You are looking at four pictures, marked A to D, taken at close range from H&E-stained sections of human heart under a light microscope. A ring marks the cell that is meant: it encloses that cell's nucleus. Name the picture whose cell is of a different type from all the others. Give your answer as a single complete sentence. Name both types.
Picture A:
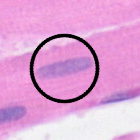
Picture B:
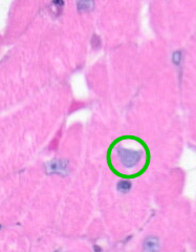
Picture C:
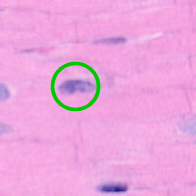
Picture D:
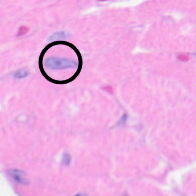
All pictures except C show cardiomyocytes; picture C shows an endothelial cell.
